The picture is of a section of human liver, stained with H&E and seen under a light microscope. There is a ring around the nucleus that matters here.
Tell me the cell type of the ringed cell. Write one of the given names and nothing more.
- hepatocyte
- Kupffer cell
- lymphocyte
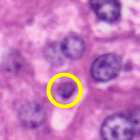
Kupffer cell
